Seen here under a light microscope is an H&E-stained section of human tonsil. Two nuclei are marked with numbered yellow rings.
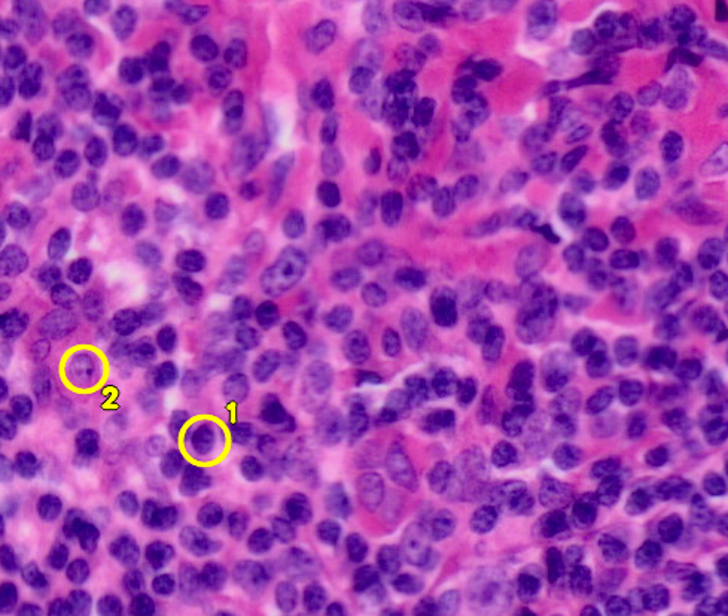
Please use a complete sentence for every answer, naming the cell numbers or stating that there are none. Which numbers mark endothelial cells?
Cell 2 is an endothelial cell, which is true of none of the other numbered cells.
